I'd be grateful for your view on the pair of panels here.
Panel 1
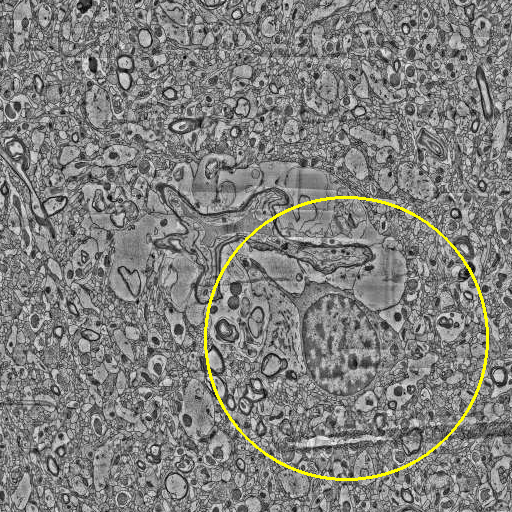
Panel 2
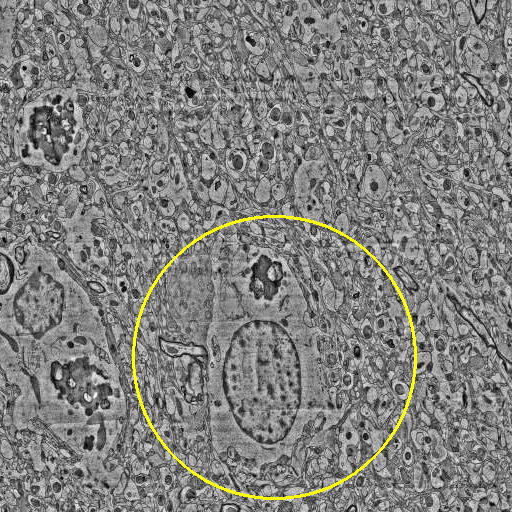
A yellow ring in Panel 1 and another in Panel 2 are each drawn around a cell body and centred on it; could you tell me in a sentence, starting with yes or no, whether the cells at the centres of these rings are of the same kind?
No, they are two kinds of cell.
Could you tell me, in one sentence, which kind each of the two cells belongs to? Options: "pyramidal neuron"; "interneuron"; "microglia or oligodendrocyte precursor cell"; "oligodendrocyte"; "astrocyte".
At the centre of the first ring sits an oligodendrocyte, and at the centre of the second sits an astrocyte.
